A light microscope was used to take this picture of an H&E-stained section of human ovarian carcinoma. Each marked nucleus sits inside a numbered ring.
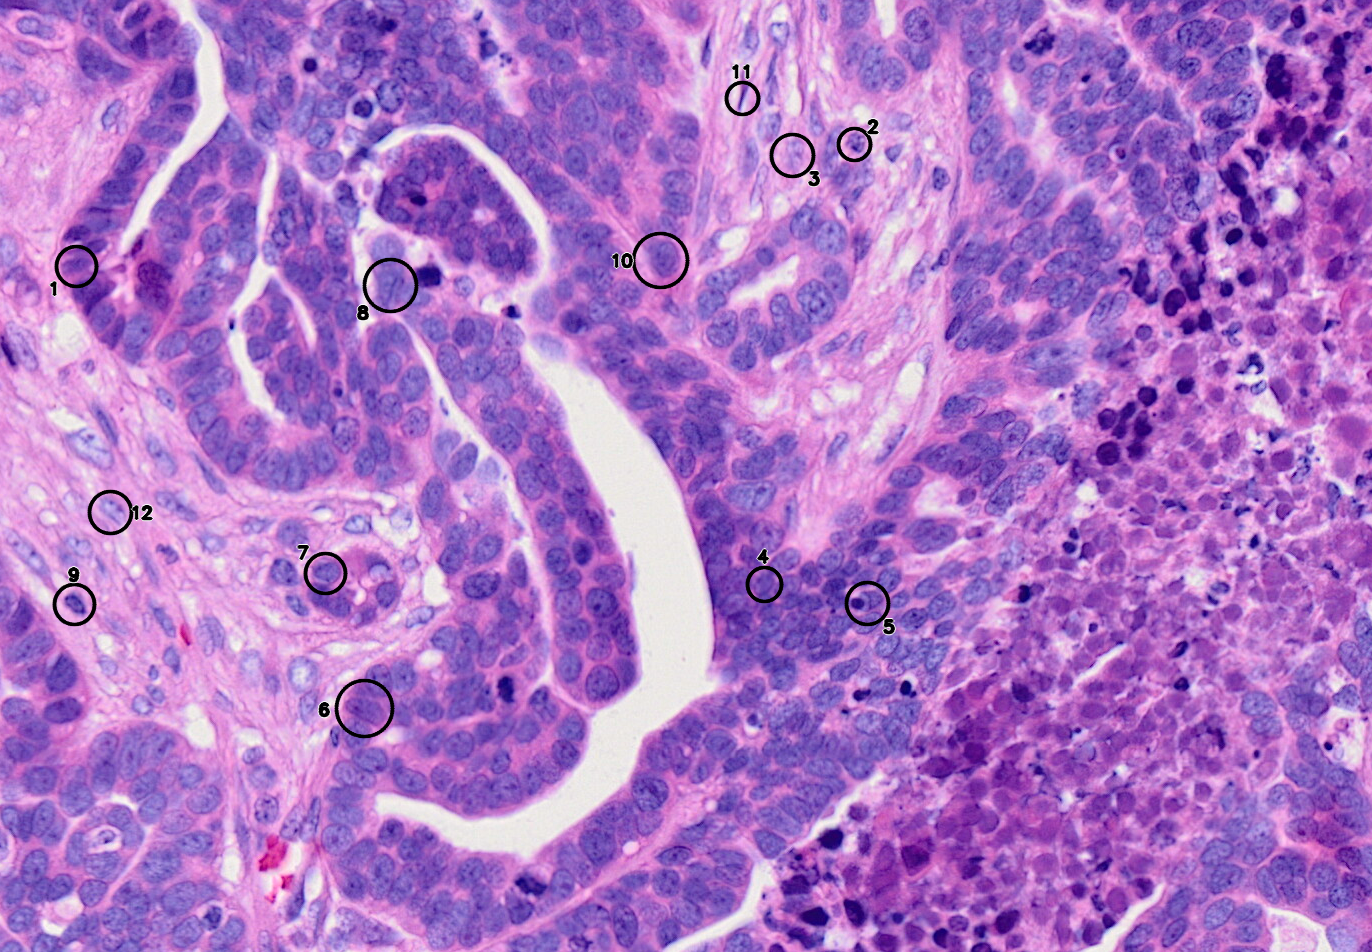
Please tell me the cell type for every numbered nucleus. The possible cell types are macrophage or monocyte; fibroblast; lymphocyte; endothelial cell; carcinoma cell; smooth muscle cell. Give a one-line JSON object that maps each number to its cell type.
{"1": "carcinoma cell", "2": "lymphocyte", "3": "fibroblast", "4": "carcinoma cell", "5": "carcinoma cell", "6": "carcinoma cell", "7": "carcinoma cell", "8": "carcinoma cell", "9": "lymphocyte", "10": "carcinoma cell", "11": "fibroblast", "12": "fibroblast"}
